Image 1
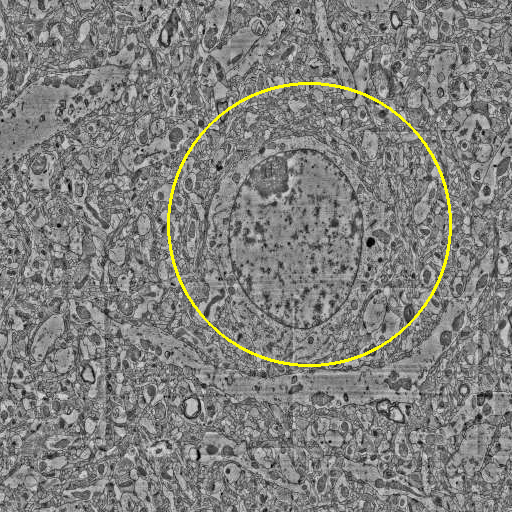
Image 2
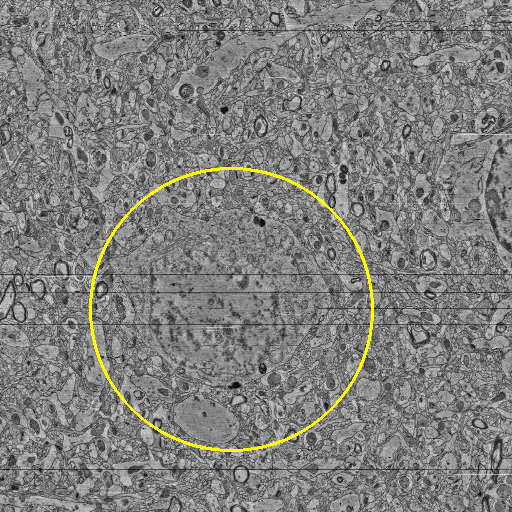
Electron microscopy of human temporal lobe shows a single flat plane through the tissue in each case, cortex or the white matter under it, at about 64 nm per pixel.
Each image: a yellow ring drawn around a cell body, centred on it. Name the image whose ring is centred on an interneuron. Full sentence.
That is Image 2.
